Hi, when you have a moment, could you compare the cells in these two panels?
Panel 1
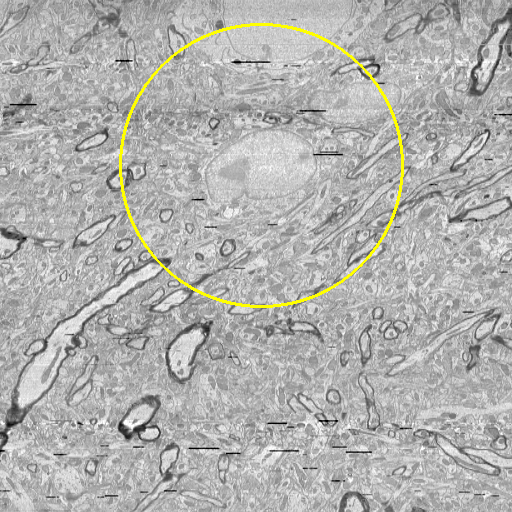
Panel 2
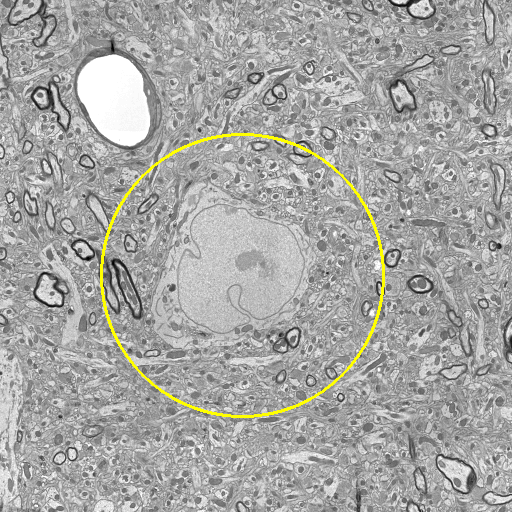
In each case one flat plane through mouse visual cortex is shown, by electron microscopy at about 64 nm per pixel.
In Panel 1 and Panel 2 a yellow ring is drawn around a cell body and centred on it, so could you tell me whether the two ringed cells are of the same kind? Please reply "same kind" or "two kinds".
two kinds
